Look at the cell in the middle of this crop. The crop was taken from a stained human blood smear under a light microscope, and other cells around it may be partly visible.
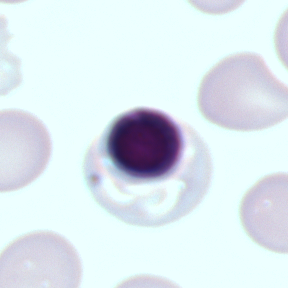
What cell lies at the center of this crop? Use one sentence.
The crop's centre is taken up by a normoblast.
